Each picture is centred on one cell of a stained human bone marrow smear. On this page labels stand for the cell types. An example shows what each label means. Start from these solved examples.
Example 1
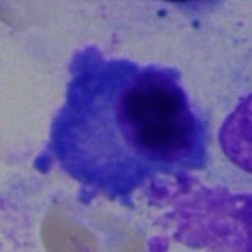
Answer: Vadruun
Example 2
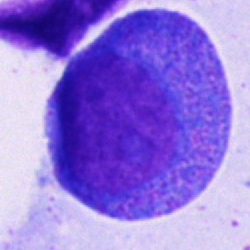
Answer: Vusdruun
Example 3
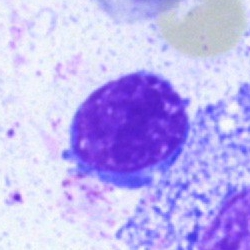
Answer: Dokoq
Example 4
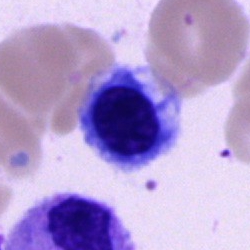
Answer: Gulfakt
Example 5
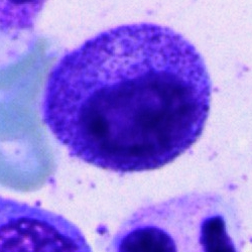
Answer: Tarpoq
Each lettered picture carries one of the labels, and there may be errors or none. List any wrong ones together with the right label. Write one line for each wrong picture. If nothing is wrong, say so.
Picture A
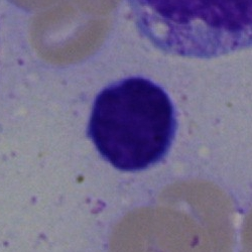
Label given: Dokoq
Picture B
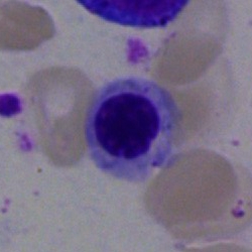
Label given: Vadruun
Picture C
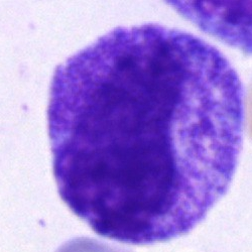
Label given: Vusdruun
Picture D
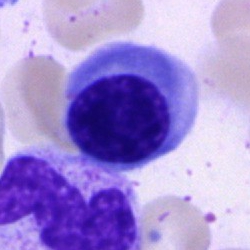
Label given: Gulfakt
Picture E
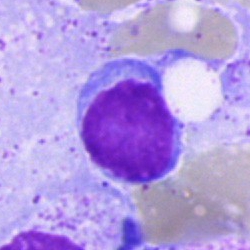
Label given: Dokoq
B should be Gulfakt, not Vadruun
